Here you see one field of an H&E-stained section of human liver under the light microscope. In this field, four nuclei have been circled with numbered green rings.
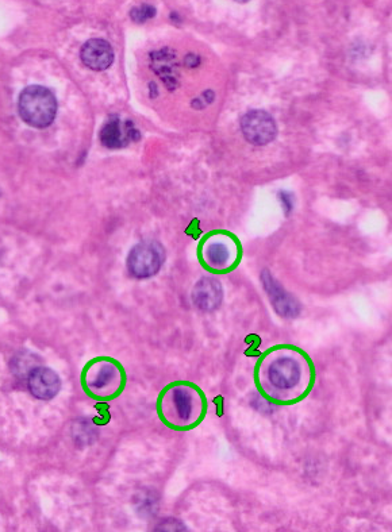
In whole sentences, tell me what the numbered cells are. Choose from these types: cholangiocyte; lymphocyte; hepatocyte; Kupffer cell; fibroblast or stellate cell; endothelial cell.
Cell 1 is a fibroblast or stellate cell. Cell 2 is a hepatocyte. Cell 3 is an endothelial cell. Cell 4 is a lymphocyte.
